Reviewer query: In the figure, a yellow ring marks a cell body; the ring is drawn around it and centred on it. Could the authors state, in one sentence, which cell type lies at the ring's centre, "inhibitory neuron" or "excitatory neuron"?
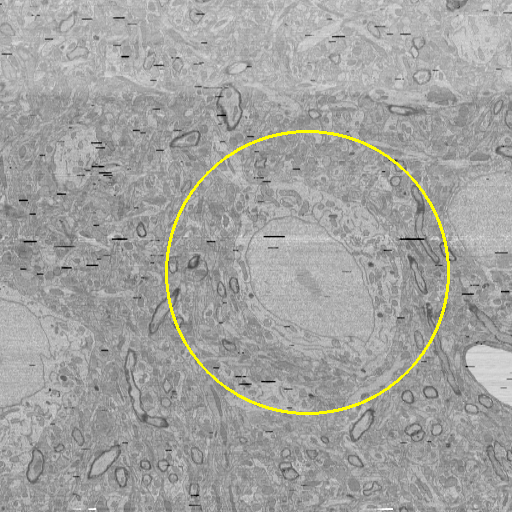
The ring is centred on an inhibitory neuron.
